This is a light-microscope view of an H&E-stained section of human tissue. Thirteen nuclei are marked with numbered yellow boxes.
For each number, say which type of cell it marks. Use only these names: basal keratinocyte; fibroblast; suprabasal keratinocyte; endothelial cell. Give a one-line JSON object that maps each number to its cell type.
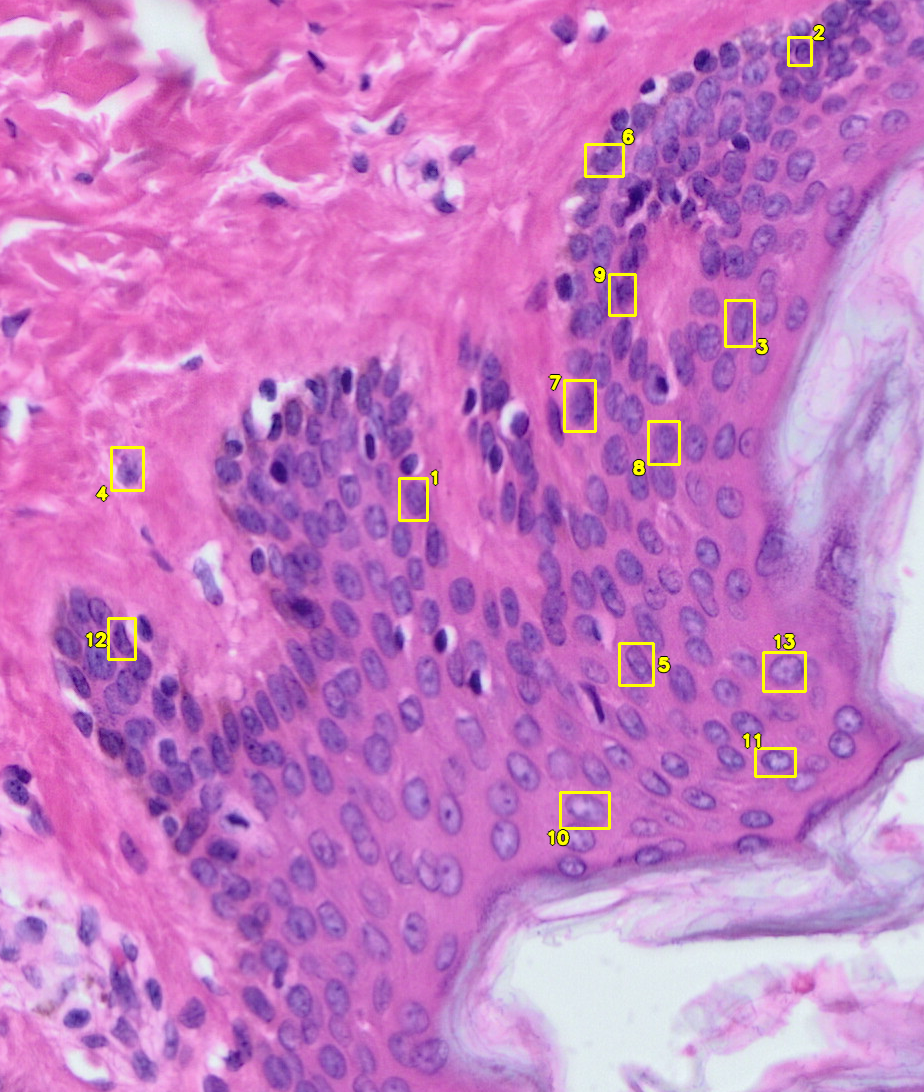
{"1": "basal keratinocyte", "2": "basal keratinocyte", "3": "suprabasal keratinocyte", "4": "fibroblast", "5": "suprabasal keratinocyte", "6": "basal keratinocyte", "7": "basal keratinocyte", "8": "suprabasal keratinocyte", "9": "basal keratinocyte", "10": "suprabasal keratinocyte", "11": "suprabasal keratinocyte", "12": "basal keratinocyte", "13": "suprabasal keratinocyte"}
